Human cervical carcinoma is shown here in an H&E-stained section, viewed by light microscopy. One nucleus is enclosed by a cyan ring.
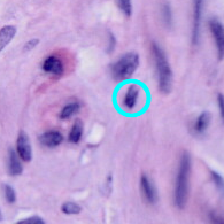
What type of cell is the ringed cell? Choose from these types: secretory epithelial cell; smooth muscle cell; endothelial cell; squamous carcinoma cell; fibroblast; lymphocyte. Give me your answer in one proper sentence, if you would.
The correct response here is that the ringed cell is a fibroblast.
